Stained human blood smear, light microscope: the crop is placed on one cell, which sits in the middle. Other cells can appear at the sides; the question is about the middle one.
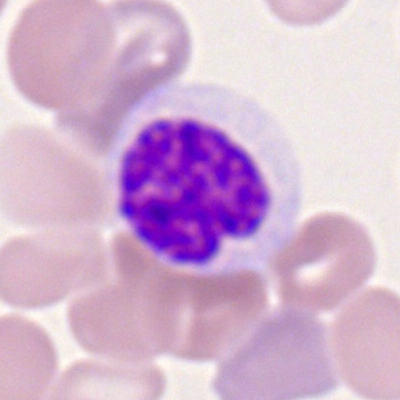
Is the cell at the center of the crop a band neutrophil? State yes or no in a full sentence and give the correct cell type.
Yes, the cell in the centre is a band neutrophil.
